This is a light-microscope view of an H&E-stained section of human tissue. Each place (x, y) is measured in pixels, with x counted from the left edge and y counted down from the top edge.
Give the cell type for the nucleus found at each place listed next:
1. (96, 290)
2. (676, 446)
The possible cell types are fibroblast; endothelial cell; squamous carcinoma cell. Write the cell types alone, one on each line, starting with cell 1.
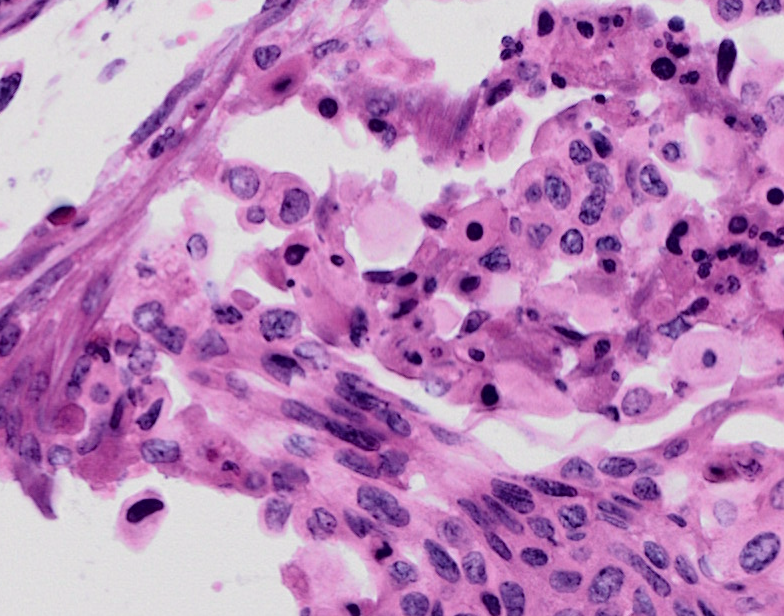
fibroblast
squamous carcinoma cell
